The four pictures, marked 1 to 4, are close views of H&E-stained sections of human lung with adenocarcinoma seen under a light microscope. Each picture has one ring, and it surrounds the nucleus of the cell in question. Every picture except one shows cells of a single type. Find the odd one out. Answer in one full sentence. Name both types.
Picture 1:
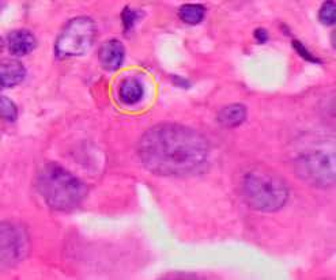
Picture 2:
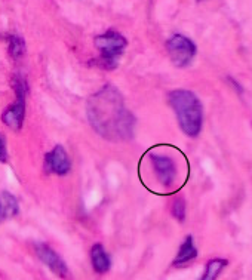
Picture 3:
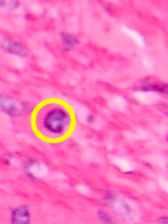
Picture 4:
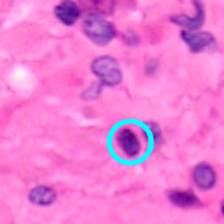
All pictures except 1 show mast cells; picture 1 shows a lymphocyte.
